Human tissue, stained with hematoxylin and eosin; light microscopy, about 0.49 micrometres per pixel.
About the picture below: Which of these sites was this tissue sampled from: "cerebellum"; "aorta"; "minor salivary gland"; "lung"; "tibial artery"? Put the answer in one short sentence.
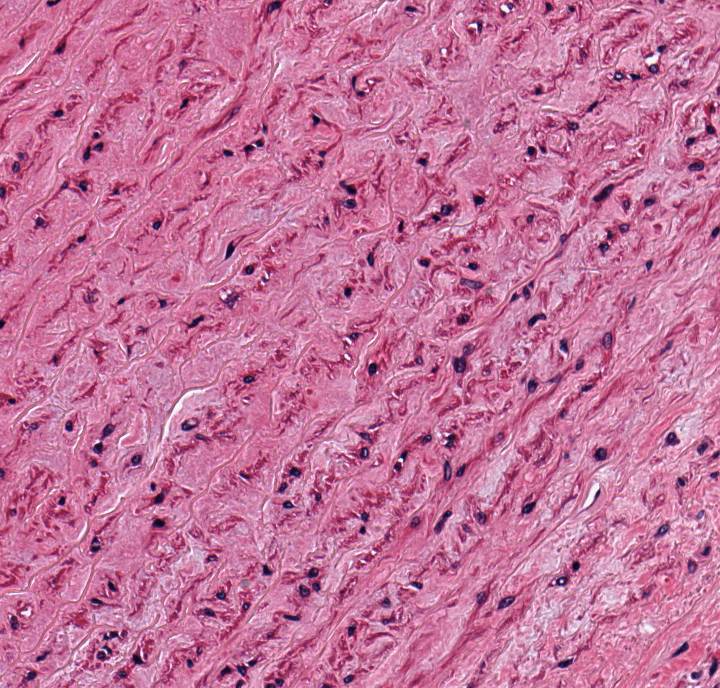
The site this tissue was sampled from is the aorta.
